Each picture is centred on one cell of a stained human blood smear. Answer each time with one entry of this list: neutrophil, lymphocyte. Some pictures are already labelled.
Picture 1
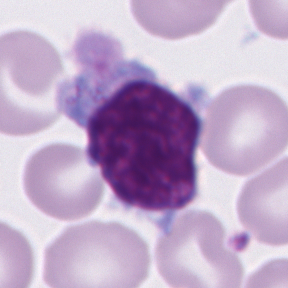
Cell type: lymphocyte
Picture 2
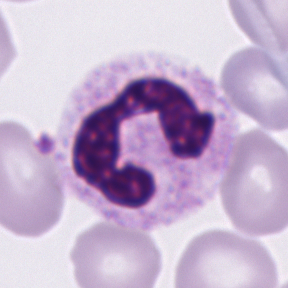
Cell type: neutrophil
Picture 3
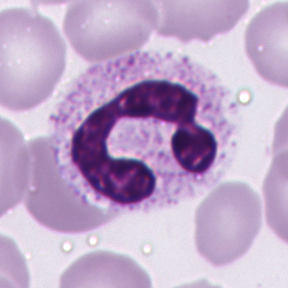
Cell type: neutrophil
